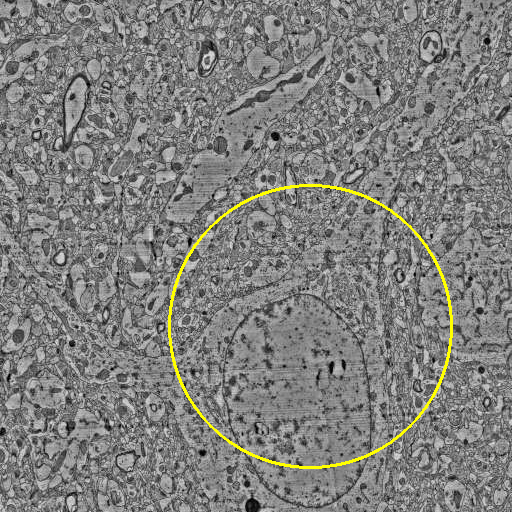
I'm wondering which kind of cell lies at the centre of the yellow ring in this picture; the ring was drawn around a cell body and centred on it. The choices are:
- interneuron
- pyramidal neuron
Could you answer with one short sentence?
At the centre of the ring lies a pyramidal neuron.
